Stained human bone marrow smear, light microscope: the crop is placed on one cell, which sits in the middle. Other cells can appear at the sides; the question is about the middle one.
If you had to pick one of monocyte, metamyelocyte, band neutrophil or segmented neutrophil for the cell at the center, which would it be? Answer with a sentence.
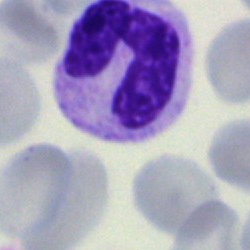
The crop's centre is taken up by a band neutrophil.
